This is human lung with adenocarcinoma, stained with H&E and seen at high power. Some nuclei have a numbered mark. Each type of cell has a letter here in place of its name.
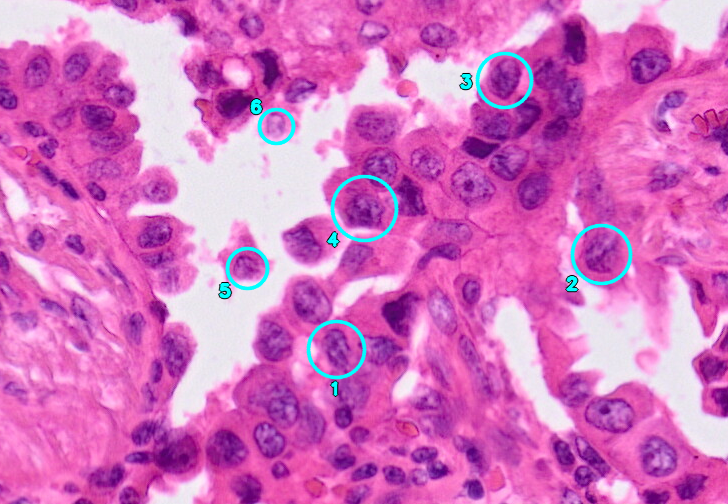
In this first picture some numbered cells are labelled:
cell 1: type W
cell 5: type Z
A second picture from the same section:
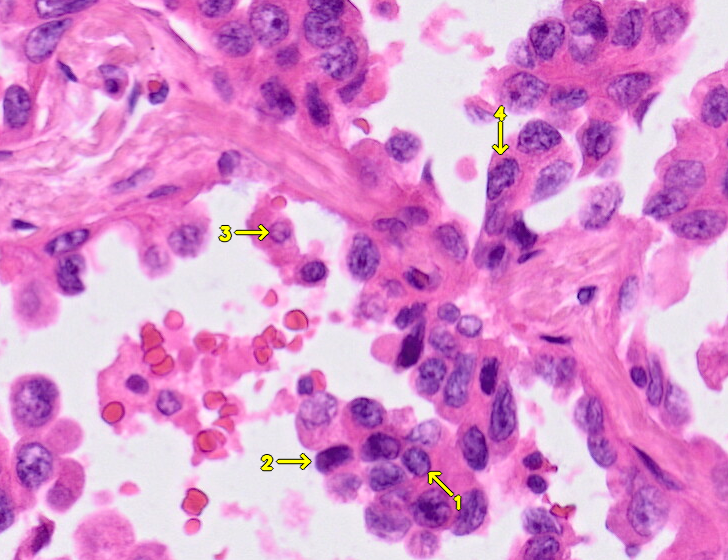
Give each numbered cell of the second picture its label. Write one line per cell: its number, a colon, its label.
1: type W
2: type W
3: type Z
4: type W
